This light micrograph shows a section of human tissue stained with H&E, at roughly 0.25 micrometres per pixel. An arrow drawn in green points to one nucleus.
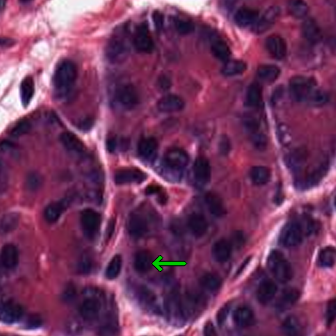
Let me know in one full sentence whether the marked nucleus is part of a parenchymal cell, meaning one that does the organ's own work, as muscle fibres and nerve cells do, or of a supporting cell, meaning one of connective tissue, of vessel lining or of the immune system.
On this slide the marked nucleus belongs to a parenchymal cell, namely a pancreatic acinar cell.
